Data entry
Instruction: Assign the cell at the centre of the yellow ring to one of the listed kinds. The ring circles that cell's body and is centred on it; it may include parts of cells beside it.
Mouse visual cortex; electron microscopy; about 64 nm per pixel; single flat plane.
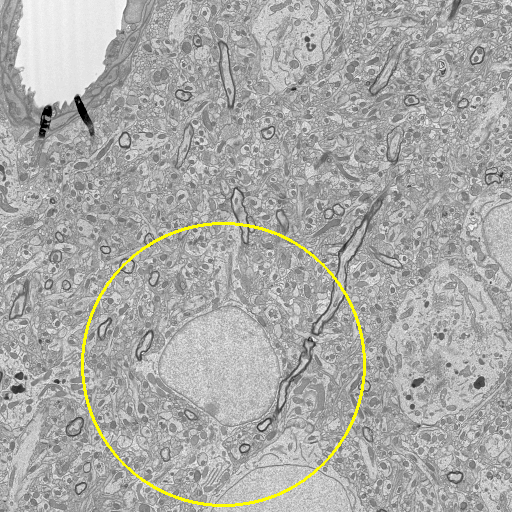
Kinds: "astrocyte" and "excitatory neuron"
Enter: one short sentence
The centre of the ring falls on an astrocyte.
